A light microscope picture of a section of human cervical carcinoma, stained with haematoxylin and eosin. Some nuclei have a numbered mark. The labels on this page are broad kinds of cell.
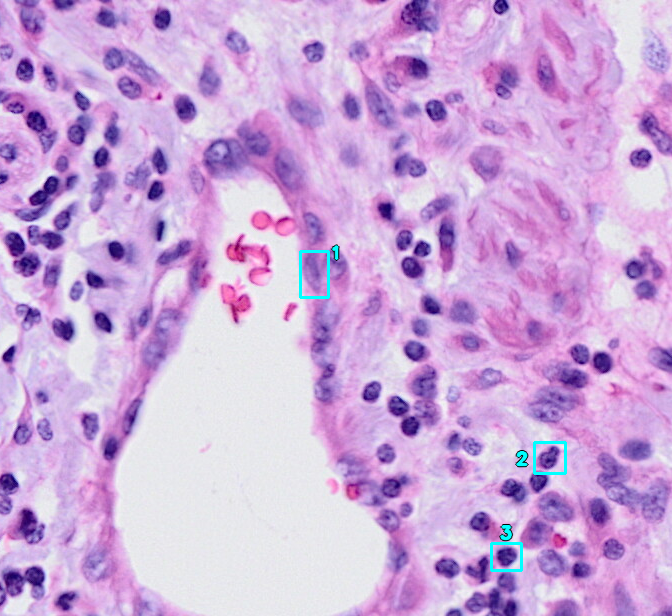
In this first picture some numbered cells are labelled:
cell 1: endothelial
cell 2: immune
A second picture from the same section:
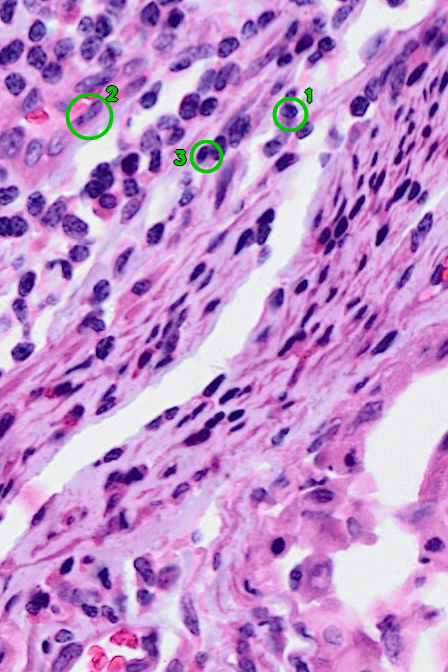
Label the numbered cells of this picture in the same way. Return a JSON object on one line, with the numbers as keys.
{"1": "immune", "2": "endothelial", "3": "immune"}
